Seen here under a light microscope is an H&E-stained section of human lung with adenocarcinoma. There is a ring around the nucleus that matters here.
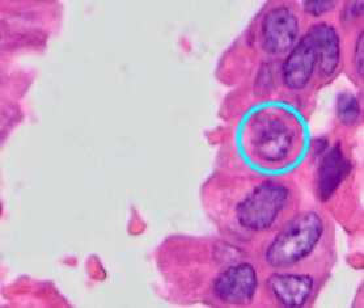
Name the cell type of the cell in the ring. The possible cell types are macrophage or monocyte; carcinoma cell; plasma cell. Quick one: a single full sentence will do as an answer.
In this tissue sample, the cell in the ring is a carcinoma cell.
